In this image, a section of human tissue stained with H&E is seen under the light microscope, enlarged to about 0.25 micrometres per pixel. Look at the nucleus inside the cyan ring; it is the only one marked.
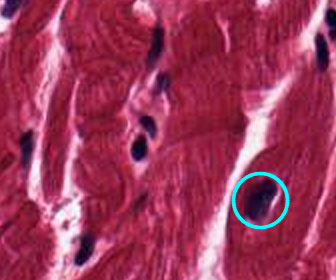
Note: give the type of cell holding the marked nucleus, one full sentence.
Here it is a cardiomyocyte that the marked nucleus belongs to.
